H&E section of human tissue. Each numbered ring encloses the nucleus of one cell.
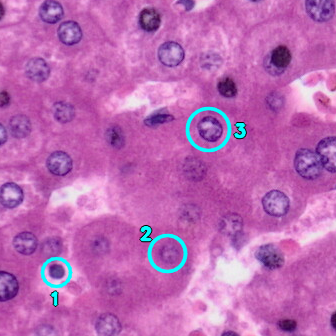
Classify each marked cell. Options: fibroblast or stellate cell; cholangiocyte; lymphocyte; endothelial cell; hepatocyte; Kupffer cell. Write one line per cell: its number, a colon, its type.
1: lymphocyte
2: hepatocyte
3: hepatocyte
